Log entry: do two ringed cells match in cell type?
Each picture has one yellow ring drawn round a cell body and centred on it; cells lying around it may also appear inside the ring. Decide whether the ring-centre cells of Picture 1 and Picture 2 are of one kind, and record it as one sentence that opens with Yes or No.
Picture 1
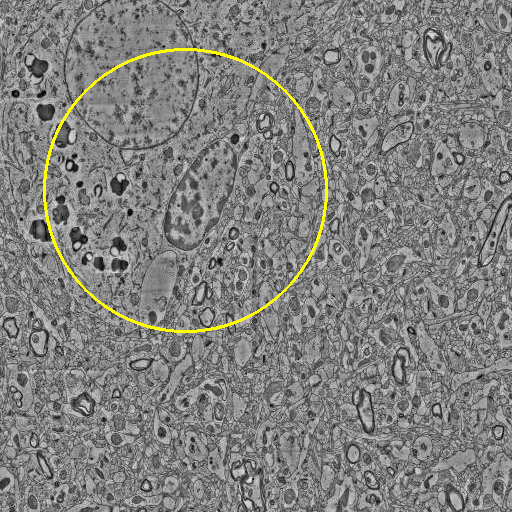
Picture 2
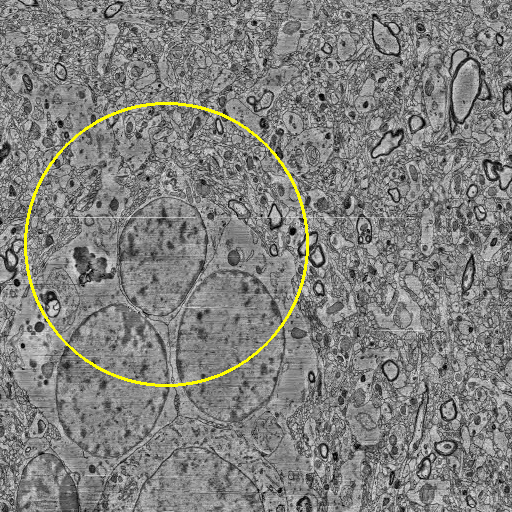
Yes, the cells at the ring centres of the two pictures belong to one kind.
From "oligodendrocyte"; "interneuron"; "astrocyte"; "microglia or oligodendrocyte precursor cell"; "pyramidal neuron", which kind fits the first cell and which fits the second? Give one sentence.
In the first picture and in the second, the ring is centred on a microglial cell or oligodendrocyte precursor cell.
